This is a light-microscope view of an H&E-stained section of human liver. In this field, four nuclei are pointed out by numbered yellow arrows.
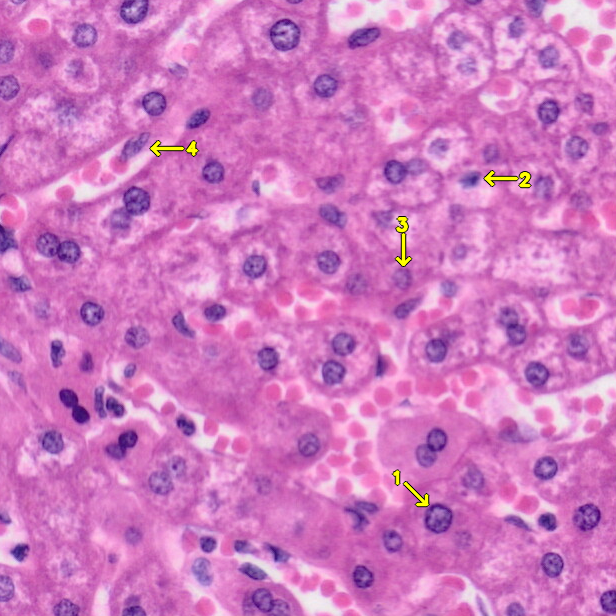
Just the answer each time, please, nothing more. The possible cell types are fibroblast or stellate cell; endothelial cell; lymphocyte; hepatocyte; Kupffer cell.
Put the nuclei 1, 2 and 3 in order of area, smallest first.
2, 3, 1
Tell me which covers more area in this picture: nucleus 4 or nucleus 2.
4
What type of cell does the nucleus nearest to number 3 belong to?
Kupffer cell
